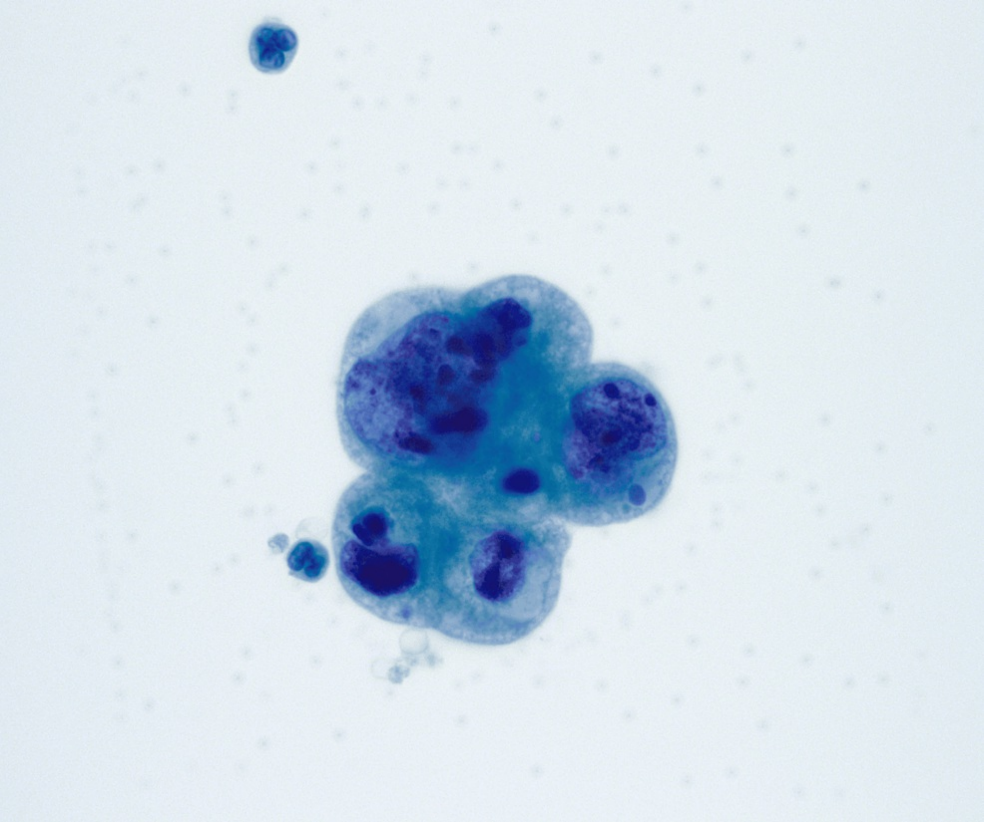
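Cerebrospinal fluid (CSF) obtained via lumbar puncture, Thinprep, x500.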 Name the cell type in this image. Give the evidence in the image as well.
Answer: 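Markedly enlarged atypical cells. The central cells are many times larger than the small cells beside them. Their nuclei are large, dark and irregular in outline.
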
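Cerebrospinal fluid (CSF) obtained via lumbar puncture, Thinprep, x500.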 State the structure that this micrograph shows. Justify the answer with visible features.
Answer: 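About five large cells lie pressed together in one group with smooth, scalloped outer borders. No cell boundaries separate the cells clearly within the group.
Conclusion: small, tight cluster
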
